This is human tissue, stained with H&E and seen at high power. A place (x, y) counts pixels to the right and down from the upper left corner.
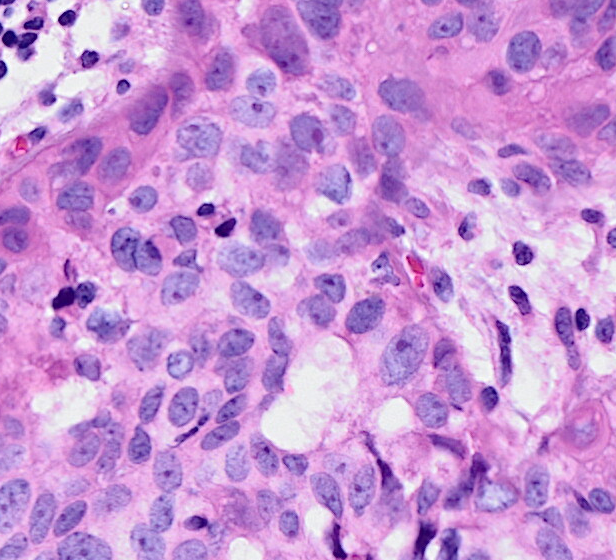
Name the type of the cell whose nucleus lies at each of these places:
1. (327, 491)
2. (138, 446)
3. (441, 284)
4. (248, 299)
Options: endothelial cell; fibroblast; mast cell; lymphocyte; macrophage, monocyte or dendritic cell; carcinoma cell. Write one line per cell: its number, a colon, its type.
1: carcinoma cell
2: carcinoma cell
3: endothelial cell
4: carcinoma cell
